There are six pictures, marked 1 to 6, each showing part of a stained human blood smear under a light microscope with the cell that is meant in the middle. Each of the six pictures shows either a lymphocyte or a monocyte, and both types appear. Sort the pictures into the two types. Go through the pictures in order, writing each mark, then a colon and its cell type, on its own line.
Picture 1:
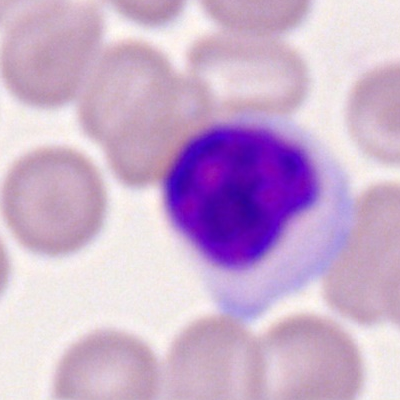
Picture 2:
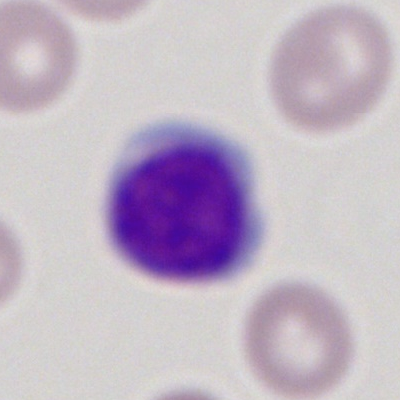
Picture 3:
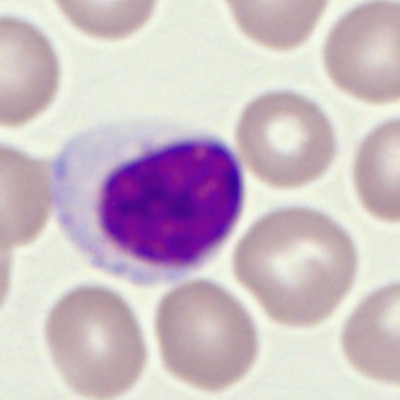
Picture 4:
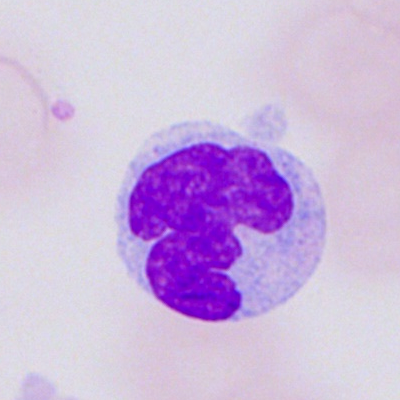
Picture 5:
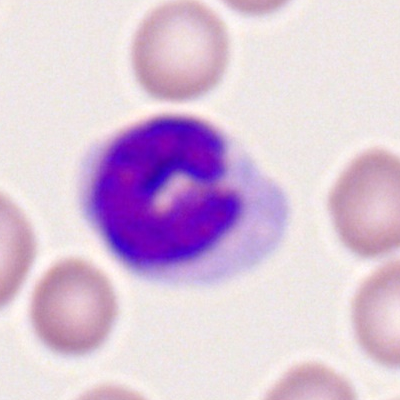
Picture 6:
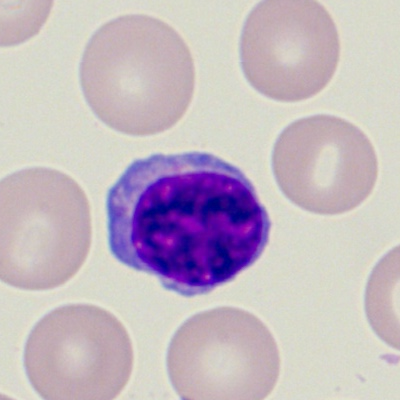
1: lymphocyte
2: lymphocyte
3: lymphocyte
4: monocyte
5: monocyte
6: lymphocyte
